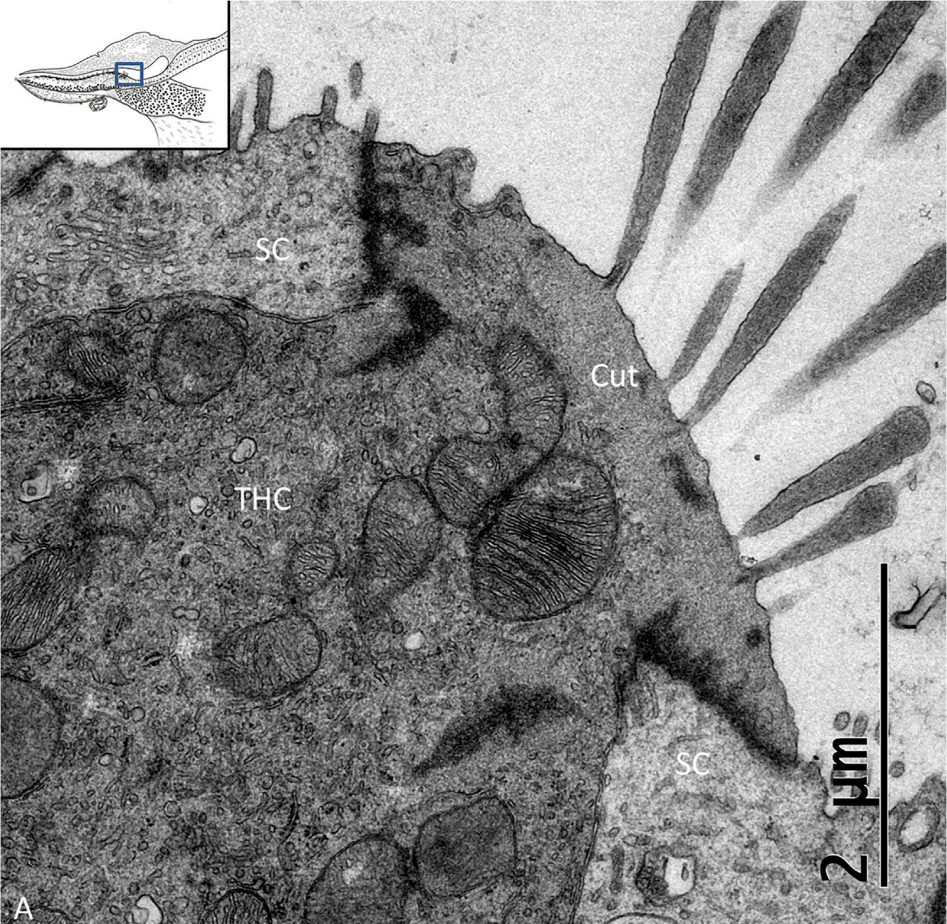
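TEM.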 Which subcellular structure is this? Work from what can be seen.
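Long, rod-like projections rise from the apical surface of the central cell. The projections are tapered at their bases where they insert into a dense apical plate. They are arranged side by side in a bundle.
Conclusion: Stereocilia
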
